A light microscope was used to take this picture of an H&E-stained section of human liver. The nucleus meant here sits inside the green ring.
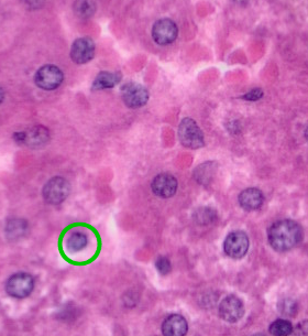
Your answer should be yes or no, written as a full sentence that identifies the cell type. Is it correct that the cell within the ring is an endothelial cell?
No, rather than an endothelial cell, the cell within the ring is a lymphocyte.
